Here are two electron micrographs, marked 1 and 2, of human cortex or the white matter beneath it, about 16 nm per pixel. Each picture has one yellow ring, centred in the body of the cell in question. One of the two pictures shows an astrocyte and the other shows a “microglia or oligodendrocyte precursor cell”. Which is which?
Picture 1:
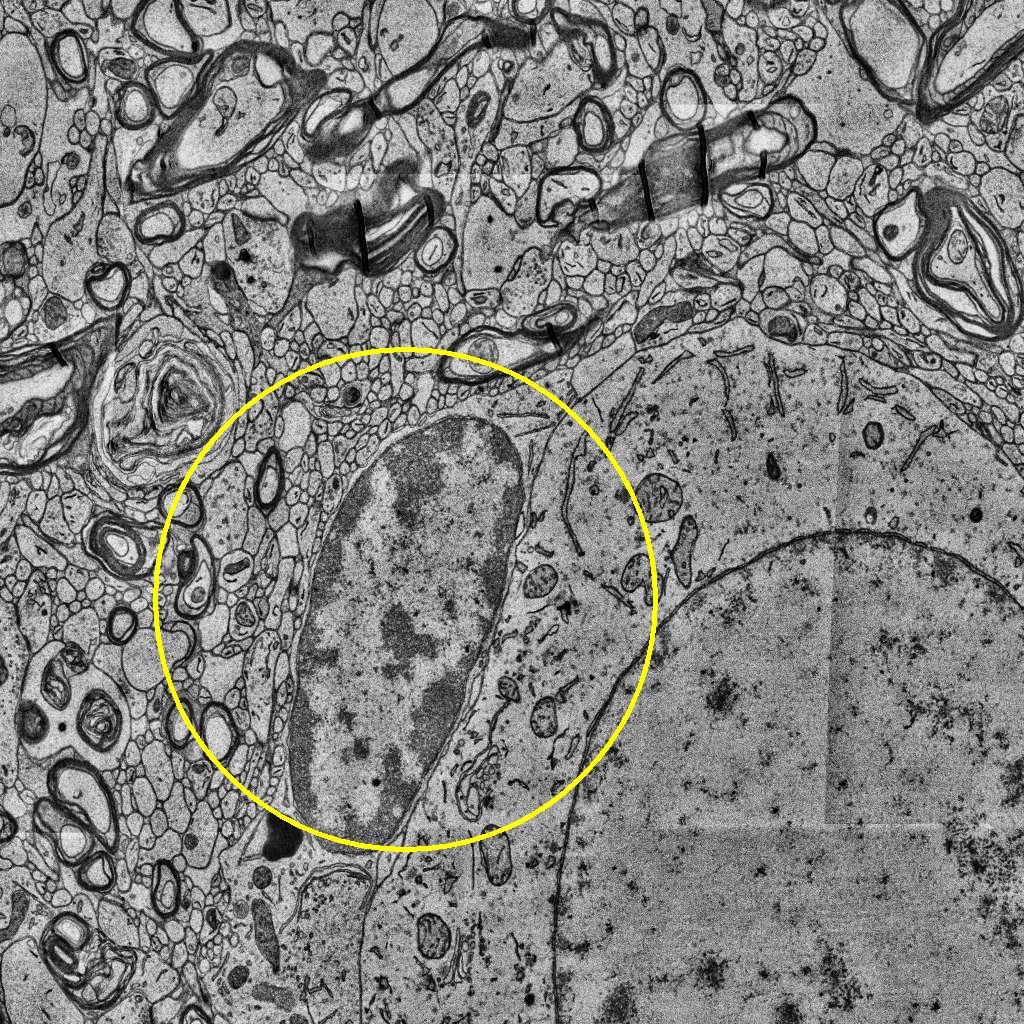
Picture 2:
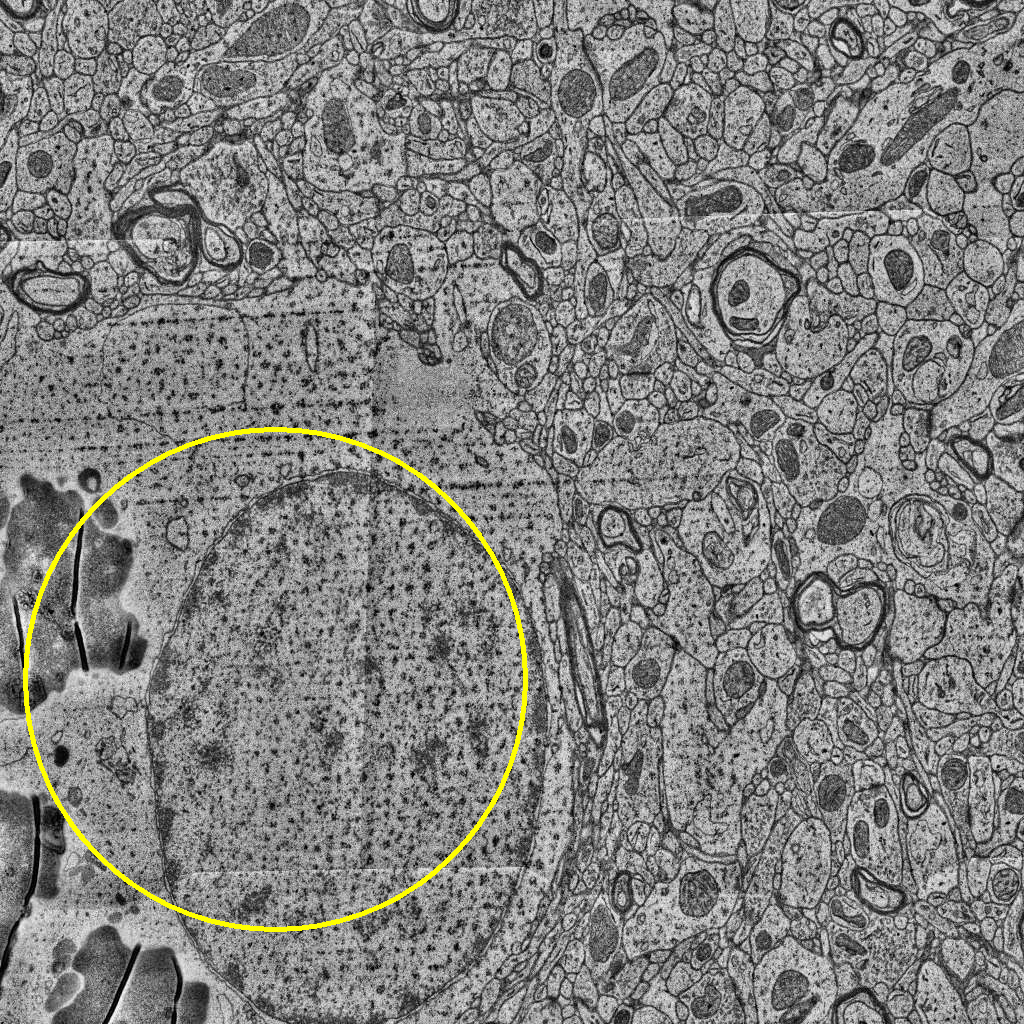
Picture 1 shows a “microglia or oligodendrocyte precursor cell” and picture 2 shows an astrocyte.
